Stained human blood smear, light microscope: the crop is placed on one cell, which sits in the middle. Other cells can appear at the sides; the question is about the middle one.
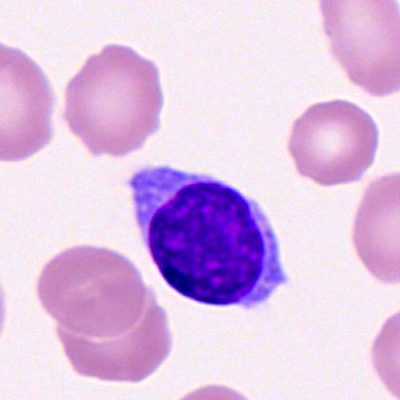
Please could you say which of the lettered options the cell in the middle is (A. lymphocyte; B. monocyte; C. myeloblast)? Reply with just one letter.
A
